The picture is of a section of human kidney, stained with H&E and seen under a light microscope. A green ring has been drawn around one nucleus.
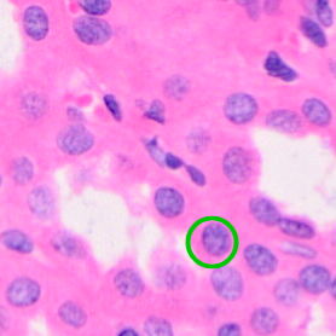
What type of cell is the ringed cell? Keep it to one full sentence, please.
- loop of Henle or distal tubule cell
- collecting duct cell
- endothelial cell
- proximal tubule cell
In the tissue under study, the ringed cell is a loop of Henle or distal tubule cell.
